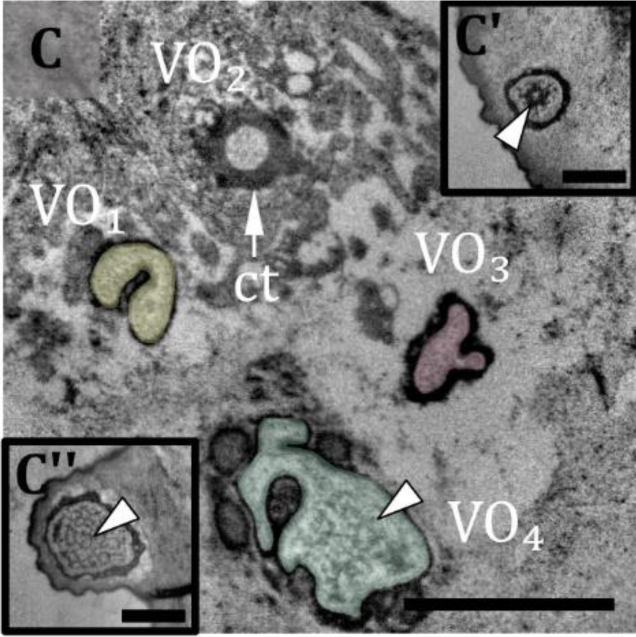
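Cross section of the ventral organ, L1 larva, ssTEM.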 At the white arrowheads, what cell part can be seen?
Tubular body.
